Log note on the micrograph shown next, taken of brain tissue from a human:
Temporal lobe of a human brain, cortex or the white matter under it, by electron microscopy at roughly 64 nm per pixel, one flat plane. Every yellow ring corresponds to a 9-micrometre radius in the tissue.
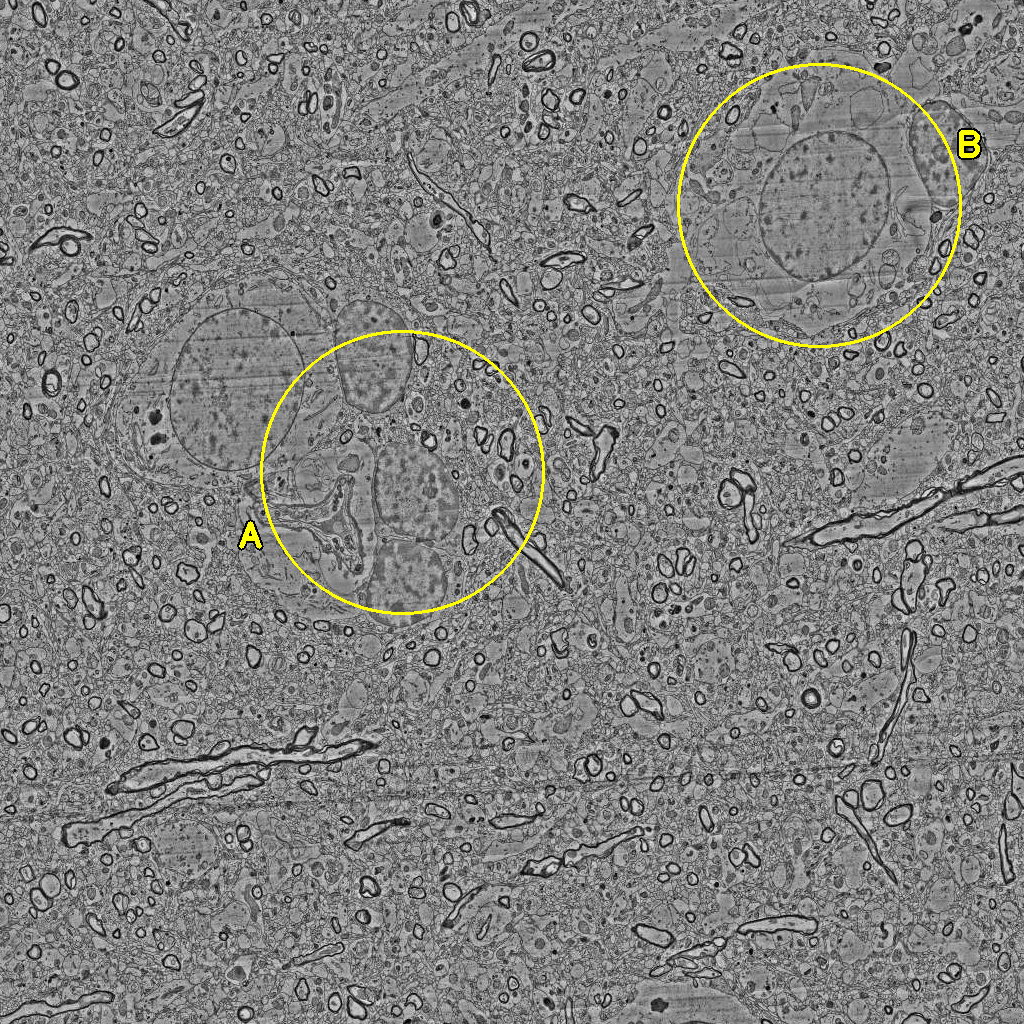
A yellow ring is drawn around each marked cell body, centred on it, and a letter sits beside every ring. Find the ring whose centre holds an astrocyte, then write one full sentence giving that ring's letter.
In the picture, the cell asked for sits at the centre of ring B.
